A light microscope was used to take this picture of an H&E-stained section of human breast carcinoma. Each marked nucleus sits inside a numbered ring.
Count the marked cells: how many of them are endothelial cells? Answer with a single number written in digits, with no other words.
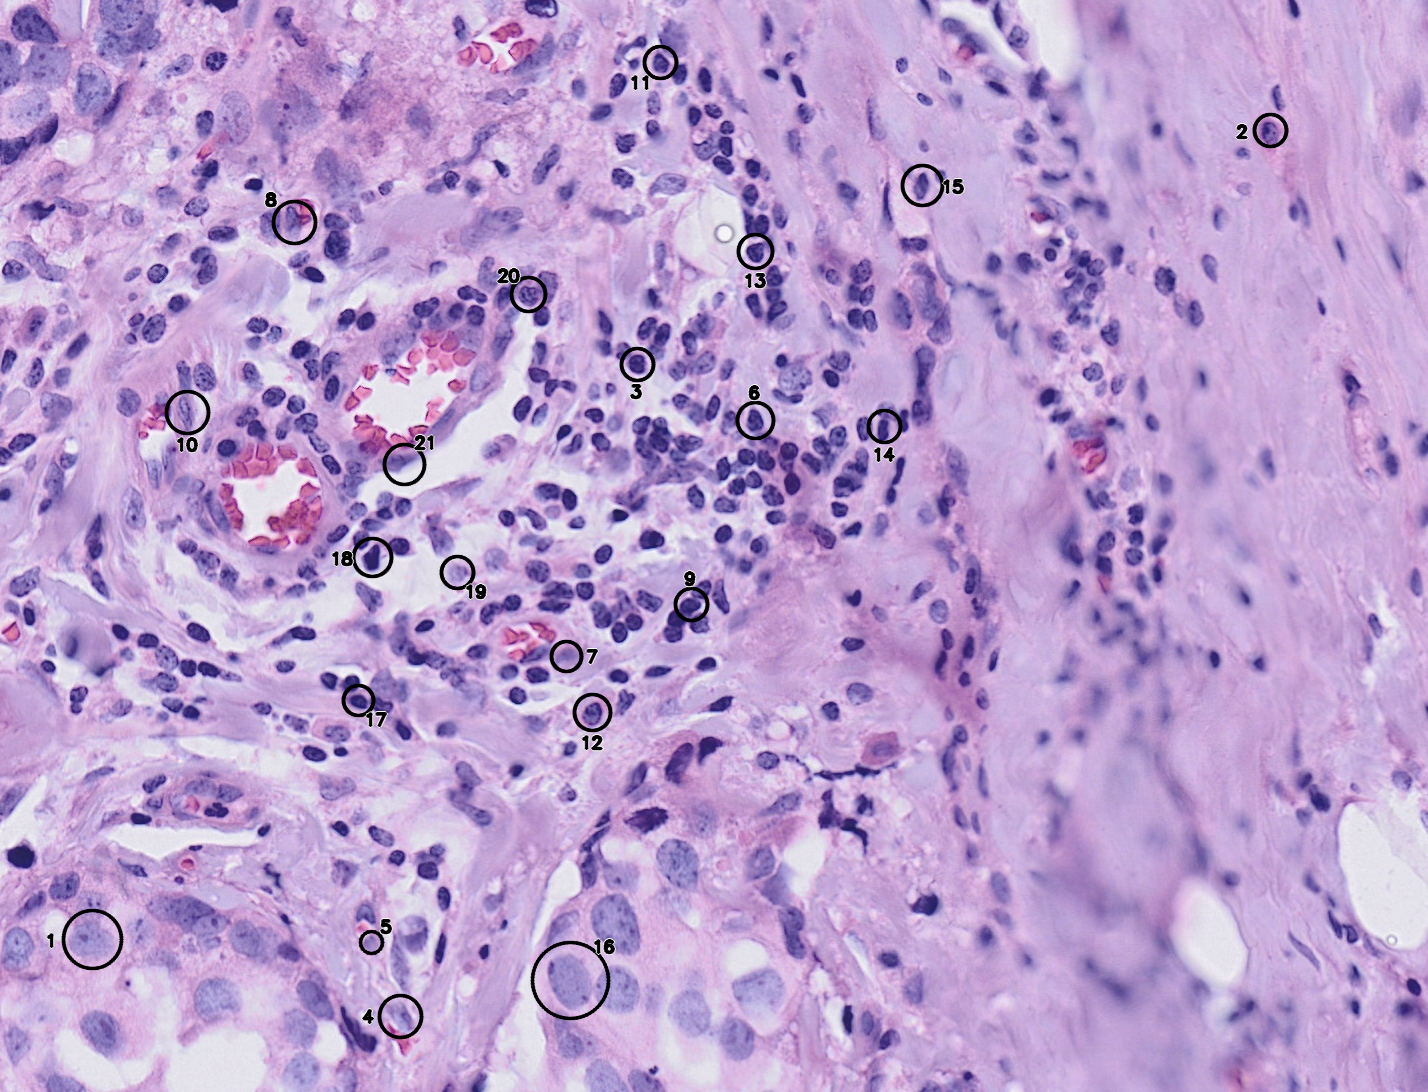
6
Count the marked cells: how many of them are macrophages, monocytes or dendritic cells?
1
